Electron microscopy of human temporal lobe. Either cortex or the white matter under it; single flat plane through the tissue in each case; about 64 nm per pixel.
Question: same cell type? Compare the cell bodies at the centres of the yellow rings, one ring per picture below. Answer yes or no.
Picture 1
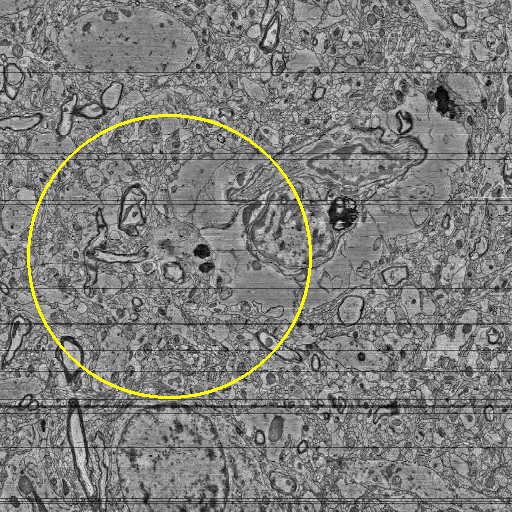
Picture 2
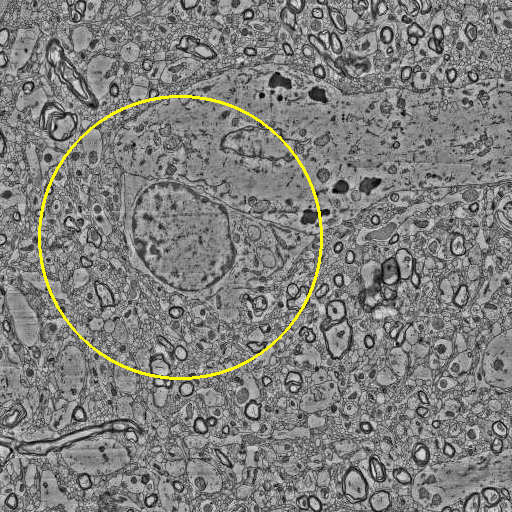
no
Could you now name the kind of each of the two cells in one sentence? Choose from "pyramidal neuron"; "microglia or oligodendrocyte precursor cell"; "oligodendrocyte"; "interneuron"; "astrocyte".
The first ring encloses an oligodendrocyte; the second ring encloses a microglial cell or oligodendrocyte precursor cell.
